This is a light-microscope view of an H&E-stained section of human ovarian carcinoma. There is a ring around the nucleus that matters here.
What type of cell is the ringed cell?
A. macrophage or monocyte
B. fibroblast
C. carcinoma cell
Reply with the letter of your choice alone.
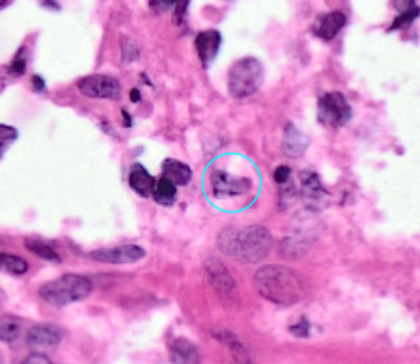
A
